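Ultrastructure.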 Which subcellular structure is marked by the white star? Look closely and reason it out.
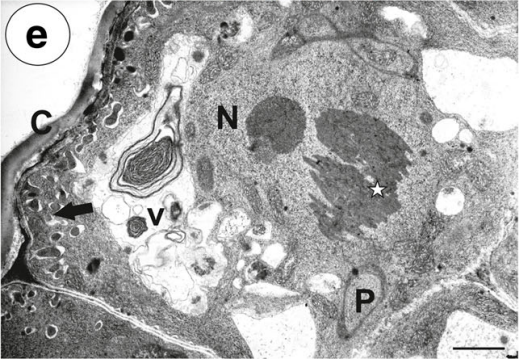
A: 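It is distinct from the round, granular nucleolus beside it.
Paracrystalline protein inclusion.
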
